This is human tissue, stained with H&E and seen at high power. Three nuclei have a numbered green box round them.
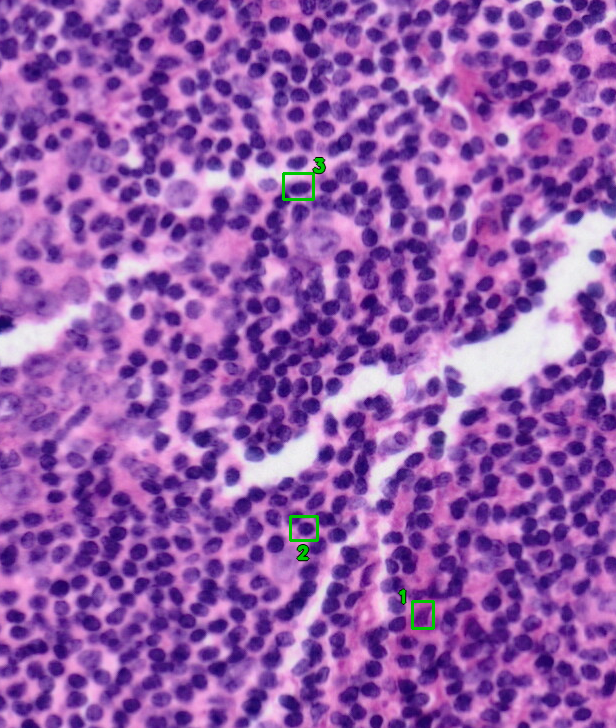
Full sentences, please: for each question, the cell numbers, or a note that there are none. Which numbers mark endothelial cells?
Just the cell marked 1 is an endothelial cell; none of the other marked cells is.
